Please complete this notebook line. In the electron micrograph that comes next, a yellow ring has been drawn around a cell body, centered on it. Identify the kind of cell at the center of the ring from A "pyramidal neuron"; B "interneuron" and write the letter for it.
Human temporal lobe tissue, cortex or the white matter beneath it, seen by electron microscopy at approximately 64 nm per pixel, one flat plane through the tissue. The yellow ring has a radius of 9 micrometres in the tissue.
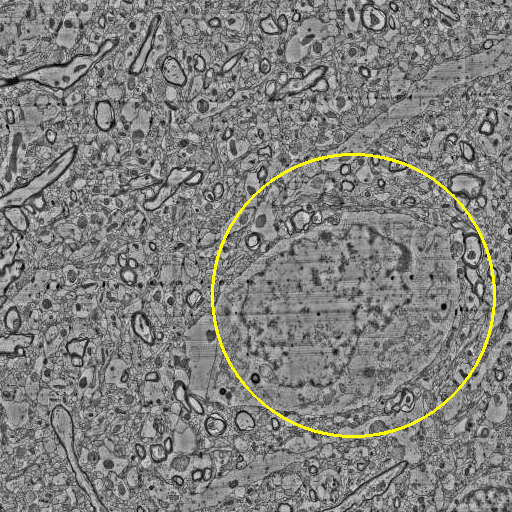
B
